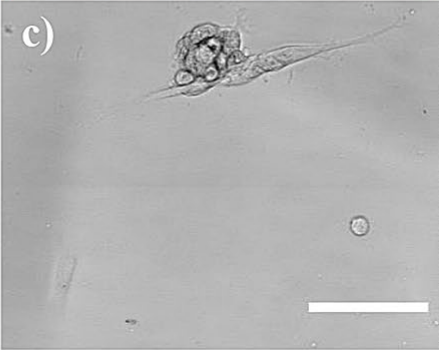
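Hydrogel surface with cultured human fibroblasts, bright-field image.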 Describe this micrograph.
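The main cell near the top has a rounded, granular body with bubbly inclusions and a long, thin process tapering off to the right. A small round body lies separately in the lower right, and a faint elongated outline is visible at the lower left.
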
